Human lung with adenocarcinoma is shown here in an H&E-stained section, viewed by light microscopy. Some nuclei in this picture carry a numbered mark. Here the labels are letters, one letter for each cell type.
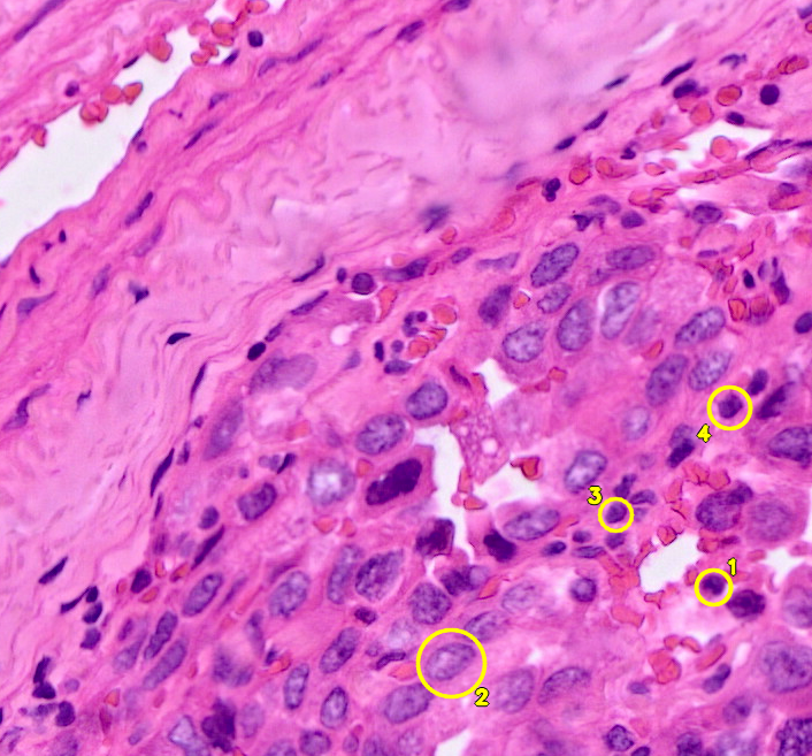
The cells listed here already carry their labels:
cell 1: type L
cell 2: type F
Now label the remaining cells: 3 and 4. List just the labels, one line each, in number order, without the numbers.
type L
type L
